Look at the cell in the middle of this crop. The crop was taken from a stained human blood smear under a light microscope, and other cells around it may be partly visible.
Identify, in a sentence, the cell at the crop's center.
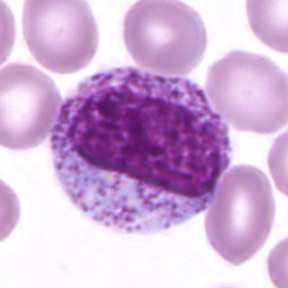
Centrally within this crop lies a myelocyte.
